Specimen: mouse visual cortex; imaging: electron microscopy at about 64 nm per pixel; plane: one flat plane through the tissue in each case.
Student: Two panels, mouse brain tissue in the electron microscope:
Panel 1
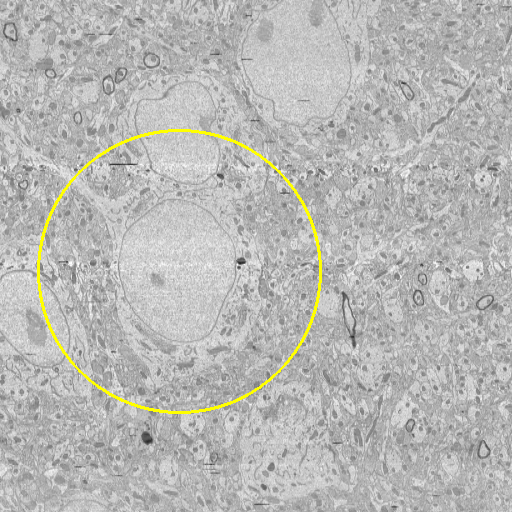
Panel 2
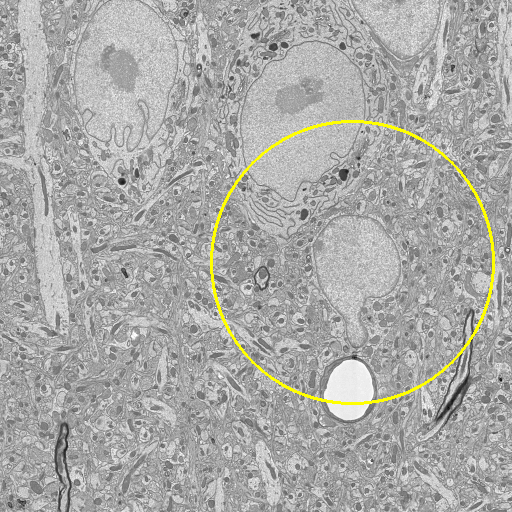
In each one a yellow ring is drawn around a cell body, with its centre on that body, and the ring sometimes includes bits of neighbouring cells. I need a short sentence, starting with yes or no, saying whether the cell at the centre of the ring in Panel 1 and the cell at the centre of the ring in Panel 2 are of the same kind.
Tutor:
No, they are two kinds of cell.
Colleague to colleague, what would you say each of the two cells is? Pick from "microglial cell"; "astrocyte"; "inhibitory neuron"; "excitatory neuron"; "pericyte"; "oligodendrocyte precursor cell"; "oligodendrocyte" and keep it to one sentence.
The cell in the first picture is an excitatory neuron; the second picture's cell is an astrocyte.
